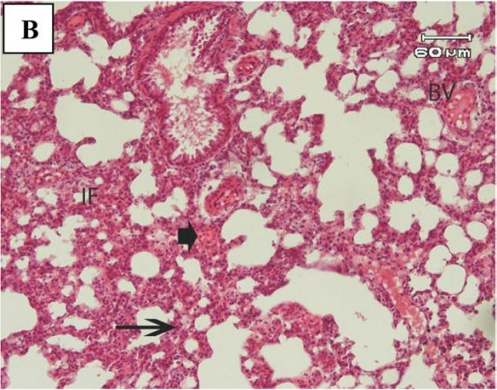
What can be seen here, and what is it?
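Lung parenchyma with markedly thickened, densely cellular alveolar walls crowded with dark purple nuclei, leaving small irregular air spaces. A bronchiole with folded epithelium and several blood vessels filled with red cells lie within dense cellular tissue, with cells gathered around the vessels.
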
